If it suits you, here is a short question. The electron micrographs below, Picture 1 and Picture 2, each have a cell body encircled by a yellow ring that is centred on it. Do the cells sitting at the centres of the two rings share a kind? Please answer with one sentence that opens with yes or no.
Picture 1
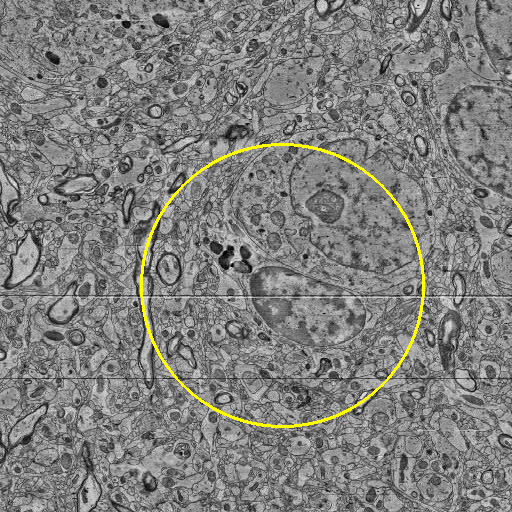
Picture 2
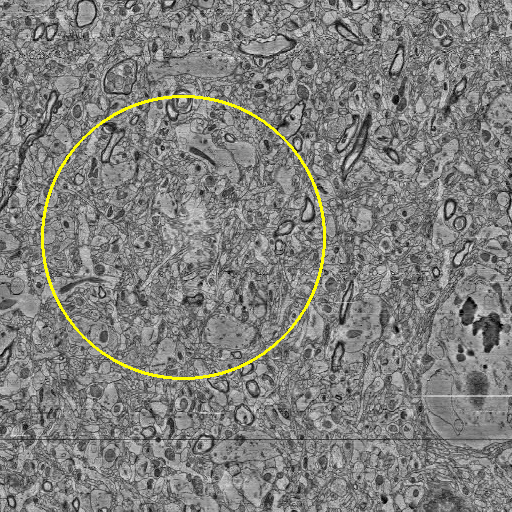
Yes, the two cells sitting at the ring centres share a single kind.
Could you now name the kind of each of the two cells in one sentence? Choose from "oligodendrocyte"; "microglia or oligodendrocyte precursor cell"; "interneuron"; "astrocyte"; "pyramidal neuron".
Each of the two cells is a microglial cell or oligodendrocyte precursor cell.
